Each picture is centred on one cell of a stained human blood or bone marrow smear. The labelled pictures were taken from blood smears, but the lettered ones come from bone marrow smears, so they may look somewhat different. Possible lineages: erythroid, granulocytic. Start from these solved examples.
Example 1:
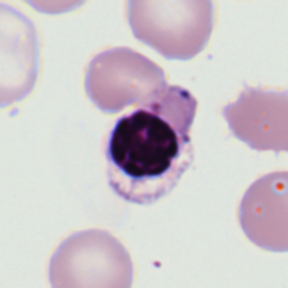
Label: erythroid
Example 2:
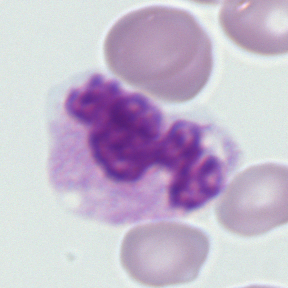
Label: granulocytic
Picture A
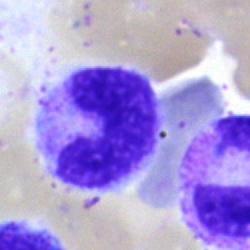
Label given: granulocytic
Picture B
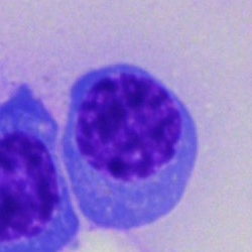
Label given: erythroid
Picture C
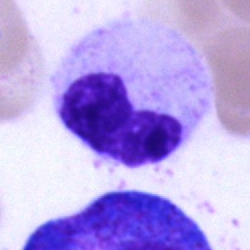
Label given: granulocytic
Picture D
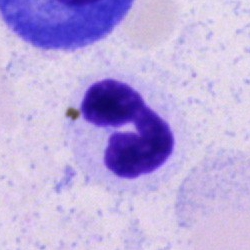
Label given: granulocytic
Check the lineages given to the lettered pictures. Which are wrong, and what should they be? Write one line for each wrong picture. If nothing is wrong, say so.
None of the labels needs changing.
